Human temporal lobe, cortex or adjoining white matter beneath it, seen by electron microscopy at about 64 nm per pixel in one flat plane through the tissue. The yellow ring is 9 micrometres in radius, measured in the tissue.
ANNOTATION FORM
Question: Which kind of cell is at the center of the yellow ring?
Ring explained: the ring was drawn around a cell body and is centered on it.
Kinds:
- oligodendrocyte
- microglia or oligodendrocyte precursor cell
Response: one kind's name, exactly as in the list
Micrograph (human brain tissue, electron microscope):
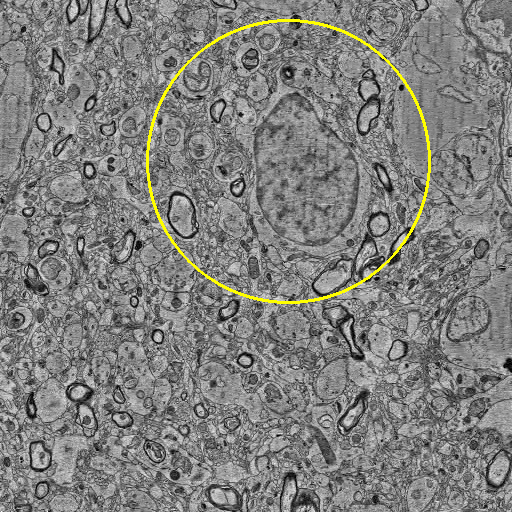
microglia or oligodendrocyte precursor cell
